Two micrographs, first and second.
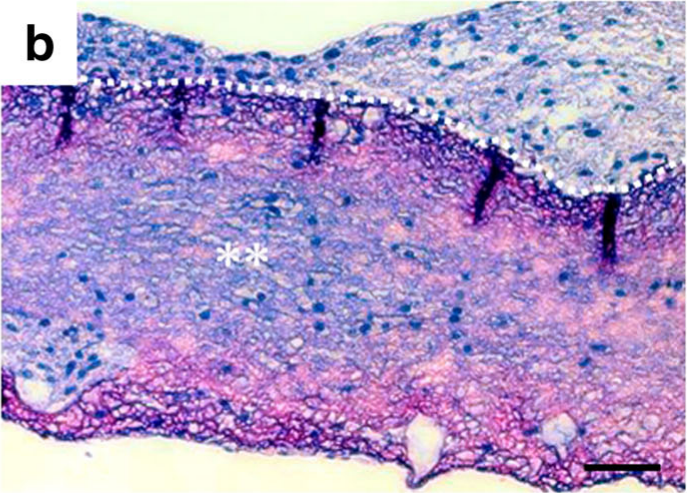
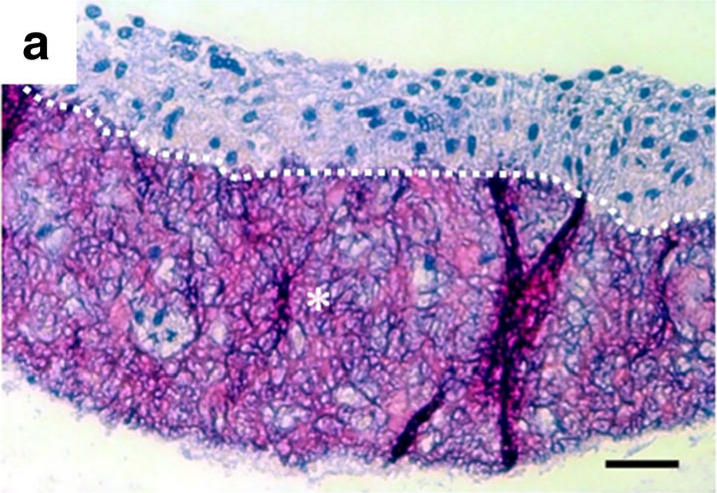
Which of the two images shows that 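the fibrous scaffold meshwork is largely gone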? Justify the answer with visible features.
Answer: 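Second image: below the dotted line a dense magenta-purple fibrous meshwork fills the whole layer.
Conclusion: the first image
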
